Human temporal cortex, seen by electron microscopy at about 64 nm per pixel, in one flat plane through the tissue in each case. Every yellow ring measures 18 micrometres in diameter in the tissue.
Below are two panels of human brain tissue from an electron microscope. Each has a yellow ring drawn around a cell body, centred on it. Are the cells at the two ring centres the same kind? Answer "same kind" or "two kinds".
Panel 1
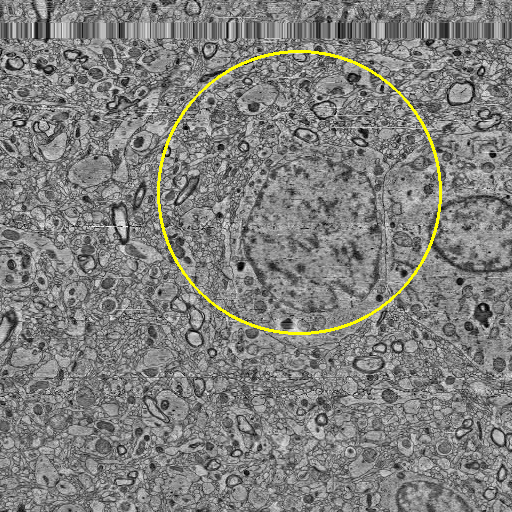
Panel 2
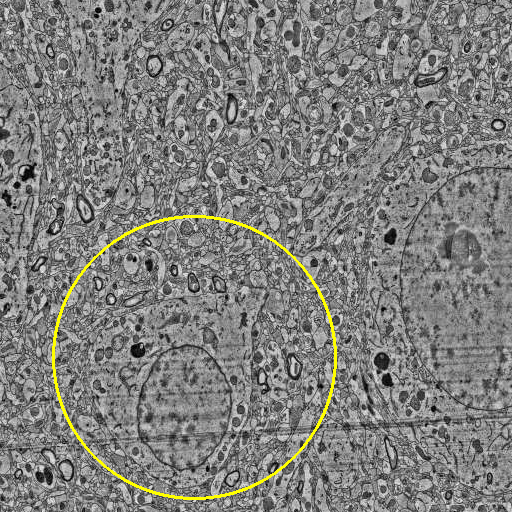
two kinds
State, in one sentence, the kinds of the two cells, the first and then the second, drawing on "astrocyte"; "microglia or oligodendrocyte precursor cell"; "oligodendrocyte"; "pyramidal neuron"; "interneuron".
The ring in the second picture is centred on a pyramidal neuron, the ring in the first on an interneuron.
